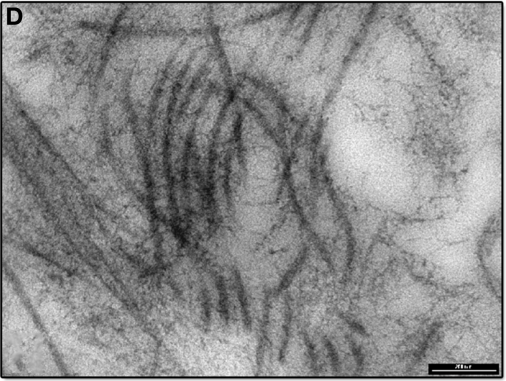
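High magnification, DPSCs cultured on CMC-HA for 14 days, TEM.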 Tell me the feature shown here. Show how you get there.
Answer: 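Fibrillary structures. Thin dark curving filaments run in bundles across a pale background. The filaments are not enclosed in a membrane-bound cell compartment.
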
